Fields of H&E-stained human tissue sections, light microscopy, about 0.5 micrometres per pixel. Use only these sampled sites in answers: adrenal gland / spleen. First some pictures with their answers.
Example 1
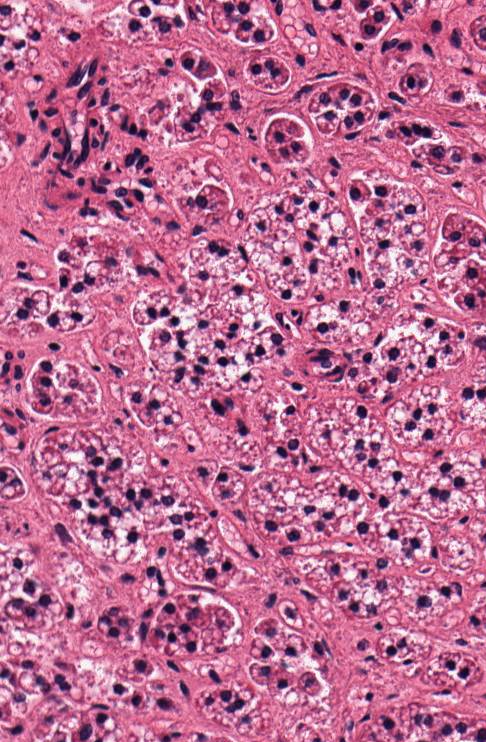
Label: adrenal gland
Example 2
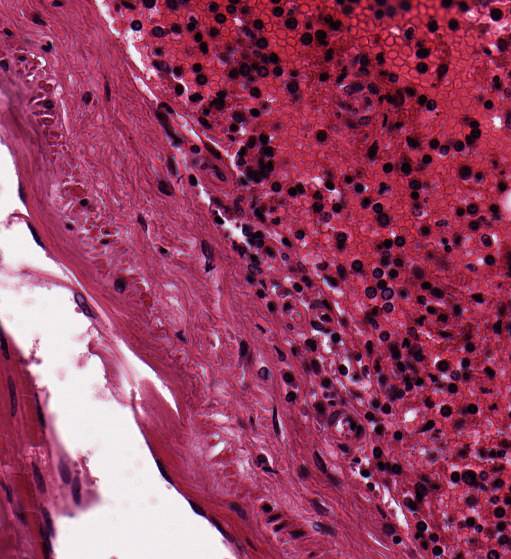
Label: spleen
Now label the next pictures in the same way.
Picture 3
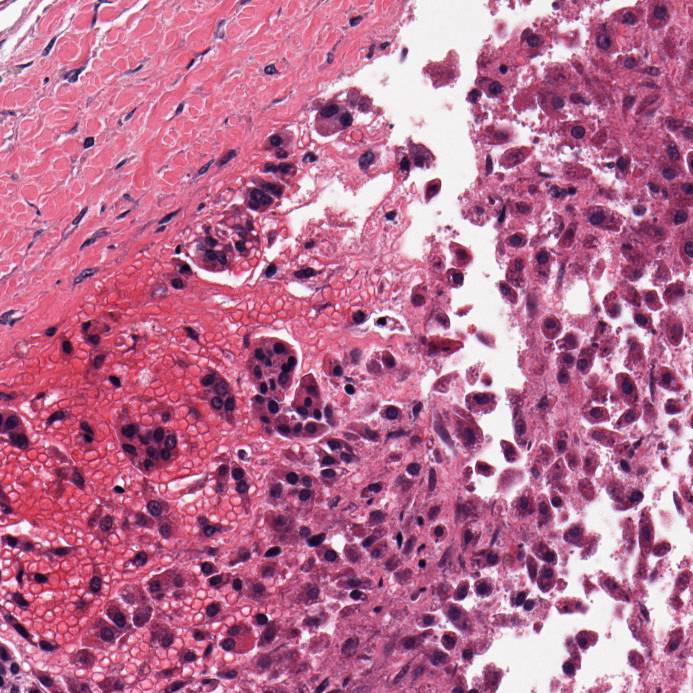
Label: adrenal gland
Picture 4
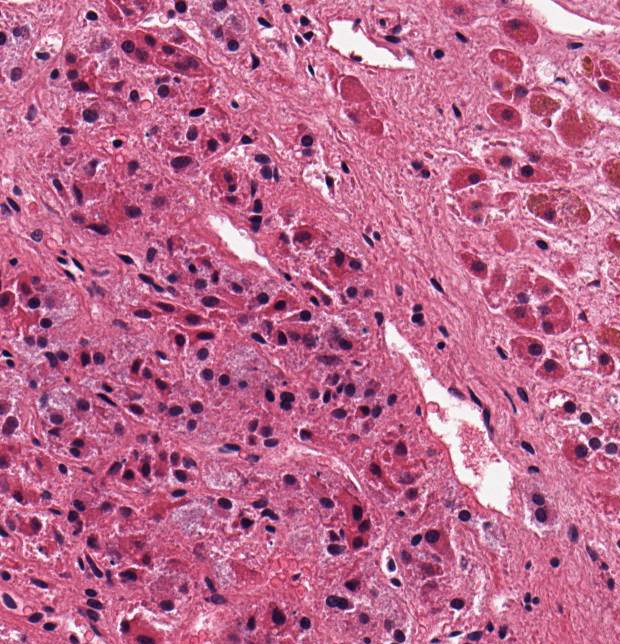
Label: adrenal gland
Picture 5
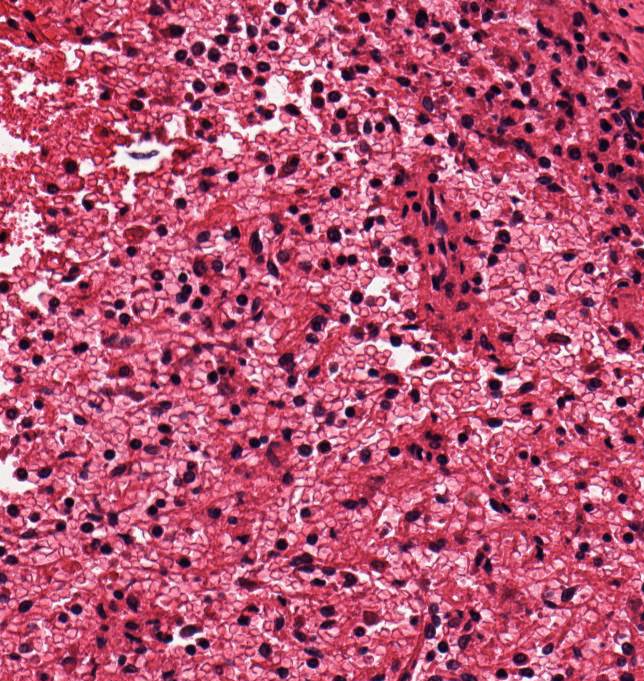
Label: spleen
